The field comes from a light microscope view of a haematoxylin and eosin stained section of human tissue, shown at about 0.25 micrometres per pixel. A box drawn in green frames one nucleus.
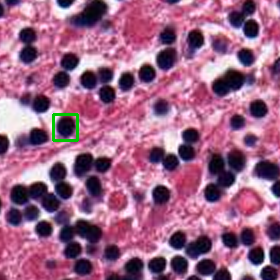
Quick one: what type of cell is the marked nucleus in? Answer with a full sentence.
In this section, the marked nucleus is that of a cerebellar granule cell.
